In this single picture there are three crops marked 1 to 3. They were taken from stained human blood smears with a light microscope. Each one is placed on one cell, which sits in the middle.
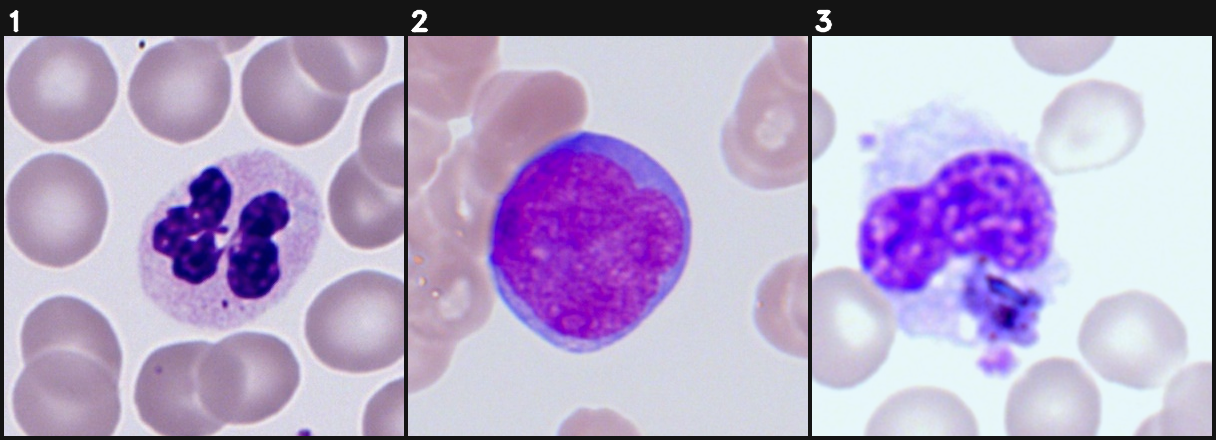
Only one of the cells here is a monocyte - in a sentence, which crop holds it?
Crop 3 is the one in this set that shows a monocyte.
